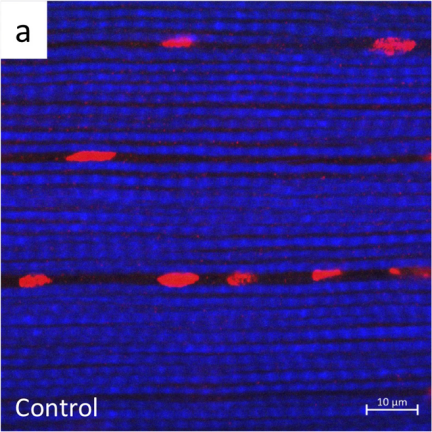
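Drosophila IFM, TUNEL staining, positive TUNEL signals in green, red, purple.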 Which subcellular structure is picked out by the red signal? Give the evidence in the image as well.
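Nuclei. Red oval bodies lie spaced in rows. They sit in dark narrow channels between the striated blue bundles. Each red body is compact and elongated along the fiber axis.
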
